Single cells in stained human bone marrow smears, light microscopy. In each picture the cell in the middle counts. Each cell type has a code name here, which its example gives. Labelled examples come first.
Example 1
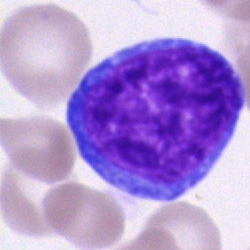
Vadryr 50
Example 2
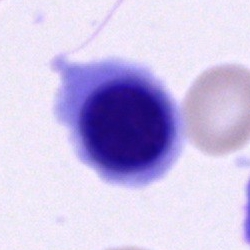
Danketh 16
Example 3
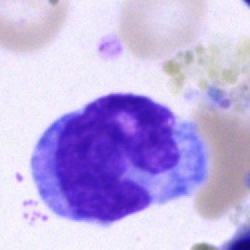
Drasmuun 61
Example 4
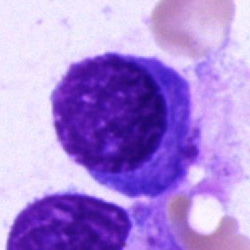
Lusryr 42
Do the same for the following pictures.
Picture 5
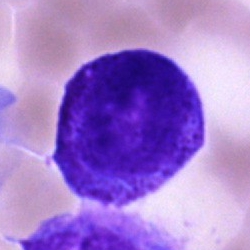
Vadryr 50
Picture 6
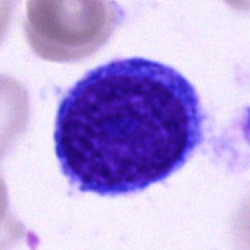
Vadryr 50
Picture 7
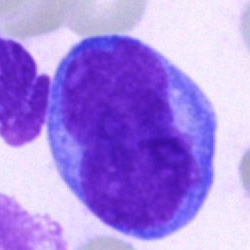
Vadryr 50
